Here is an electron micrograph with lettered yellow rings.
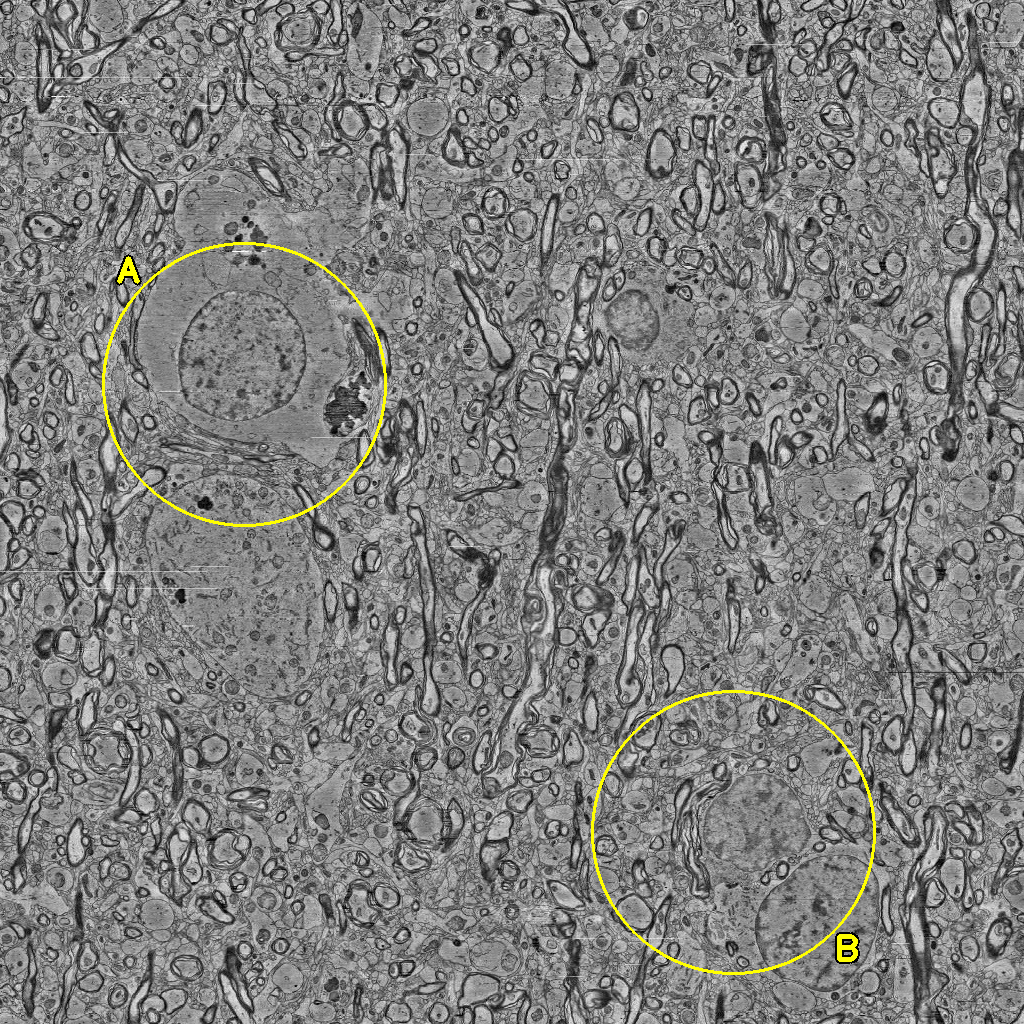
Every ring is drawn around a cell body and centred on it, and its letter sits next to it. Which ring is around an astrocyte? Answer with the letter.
A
